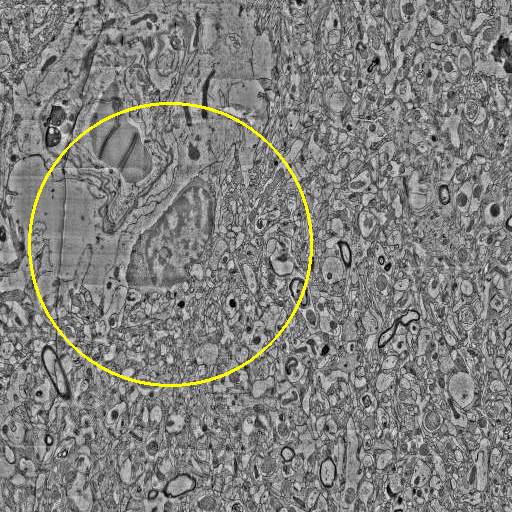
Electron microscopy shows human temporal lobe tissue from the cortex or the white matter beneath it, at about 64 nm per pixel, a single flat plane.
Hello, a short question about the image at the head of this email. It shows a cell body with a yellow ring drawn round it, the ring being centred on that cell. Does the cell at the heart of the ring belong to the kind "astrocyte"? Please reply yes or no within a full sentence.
No, the cell at the heart of the ring in that image is of a different kind.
